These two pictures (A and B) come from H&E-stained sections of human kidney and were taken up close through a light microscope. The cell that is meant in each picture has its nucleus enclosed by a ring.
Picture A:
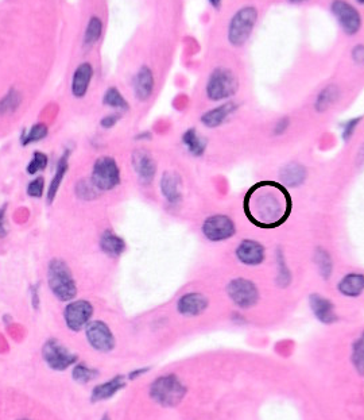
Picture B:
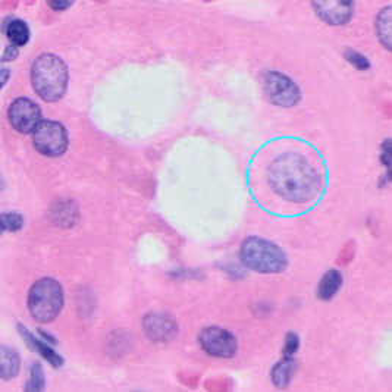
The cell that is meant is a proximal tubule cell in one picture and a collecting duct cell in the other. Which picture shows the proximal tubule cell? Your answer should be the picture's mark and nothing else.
B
